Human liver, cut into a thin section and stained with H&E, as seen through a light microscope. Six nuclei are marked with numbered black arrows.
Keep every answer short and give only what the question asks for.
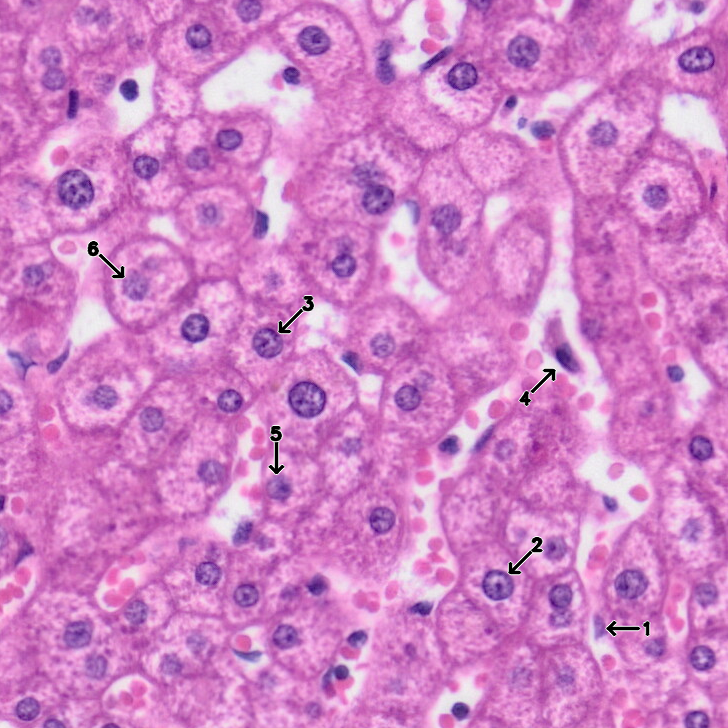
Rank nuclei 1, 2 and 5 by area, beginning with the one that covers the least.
1, 5, 2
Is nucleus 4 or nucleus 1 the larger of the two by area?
4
